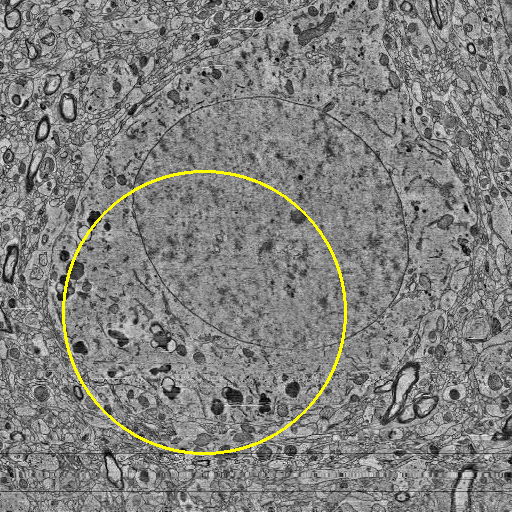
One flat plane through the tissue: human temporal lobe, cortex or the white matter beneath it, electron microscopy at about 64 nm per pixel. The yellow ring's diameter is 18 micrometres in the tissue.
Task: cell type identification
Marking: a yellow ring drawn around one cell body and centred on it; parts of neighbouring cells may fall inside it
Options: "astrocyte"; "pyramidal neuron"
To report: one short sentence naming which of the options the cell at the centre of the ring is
The cell at the centre of the ring is a pyramidal neuron.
